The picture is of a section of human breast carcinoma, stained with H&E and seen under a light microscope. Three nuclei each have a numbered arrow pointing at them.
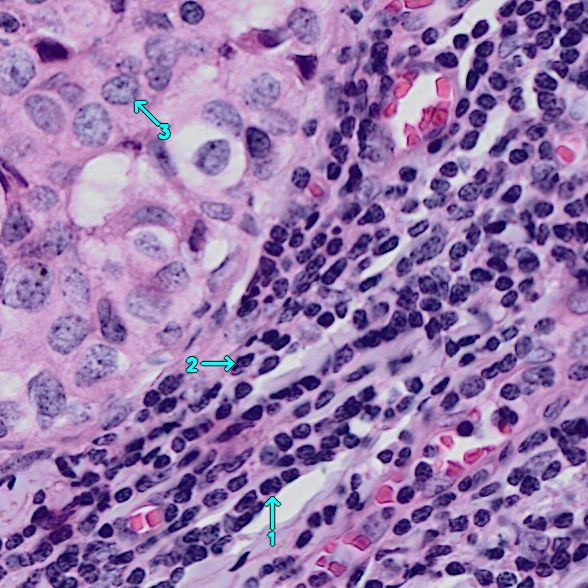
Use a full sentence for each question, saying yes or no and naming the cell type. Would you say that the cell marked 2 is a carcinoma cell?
No, sorry, the cell labelled 2 is not a carcinoma cell; it is a lymphocyte.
